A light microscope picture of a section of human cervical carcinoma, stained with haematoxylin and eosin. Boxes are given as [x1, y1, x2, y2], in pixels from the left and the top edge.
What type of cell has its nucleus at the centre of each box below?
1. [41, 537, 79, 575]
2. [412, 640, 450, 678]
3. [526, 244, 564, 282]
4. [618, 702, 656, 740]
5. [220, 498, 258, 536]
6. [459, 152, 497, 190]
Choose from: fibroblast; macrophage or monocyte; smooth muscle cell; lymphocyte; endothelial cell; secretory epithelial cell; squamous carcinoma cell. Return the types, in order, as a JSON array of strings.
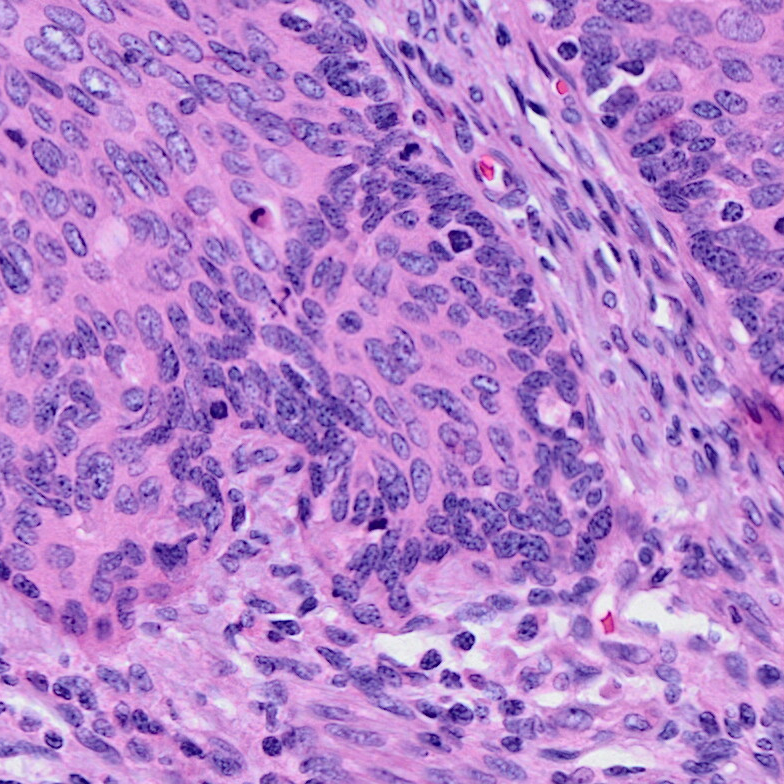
["squamous carcinoma cell", "lymphocyte", "lymphocyte", "endothelial cell", "lymphocyte", "endothelial cell"]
